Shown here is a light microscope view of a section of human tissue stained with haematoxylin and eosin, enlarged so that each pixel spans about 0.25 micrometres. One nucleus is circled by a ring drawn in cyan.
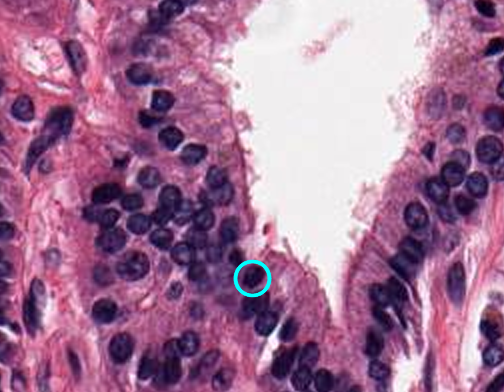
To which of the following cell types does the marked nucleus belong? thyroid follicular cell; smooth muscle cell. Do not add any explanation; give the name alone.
thyroid follicular cell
